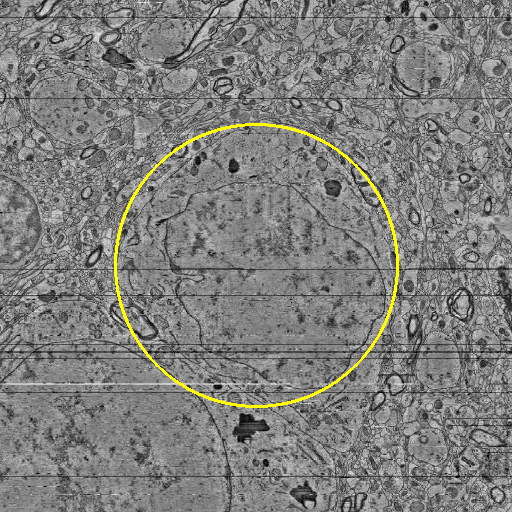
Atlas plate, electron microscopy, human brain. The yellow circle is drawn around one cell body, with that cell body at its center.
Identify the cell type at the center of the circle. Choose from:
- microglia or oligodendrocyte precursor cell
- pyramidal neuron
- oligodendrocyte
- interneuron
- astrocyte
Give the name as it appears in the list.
pyramidal neuron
